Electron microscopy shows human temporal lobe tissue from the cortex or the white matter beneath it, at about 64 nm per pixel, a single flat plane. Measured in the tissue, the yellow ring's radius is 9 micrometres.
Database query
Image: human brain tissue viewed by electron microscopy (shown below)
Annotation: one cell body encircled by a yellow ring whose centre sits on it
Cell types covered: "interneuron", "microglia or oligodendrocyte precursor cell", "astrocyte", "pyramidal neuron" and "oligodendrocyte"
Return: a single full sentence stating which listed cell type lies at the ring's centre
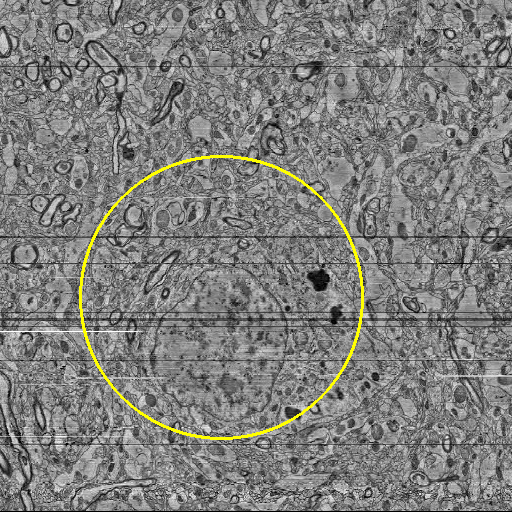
In the image, the cell lying at the ring's centre is an interneuron.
